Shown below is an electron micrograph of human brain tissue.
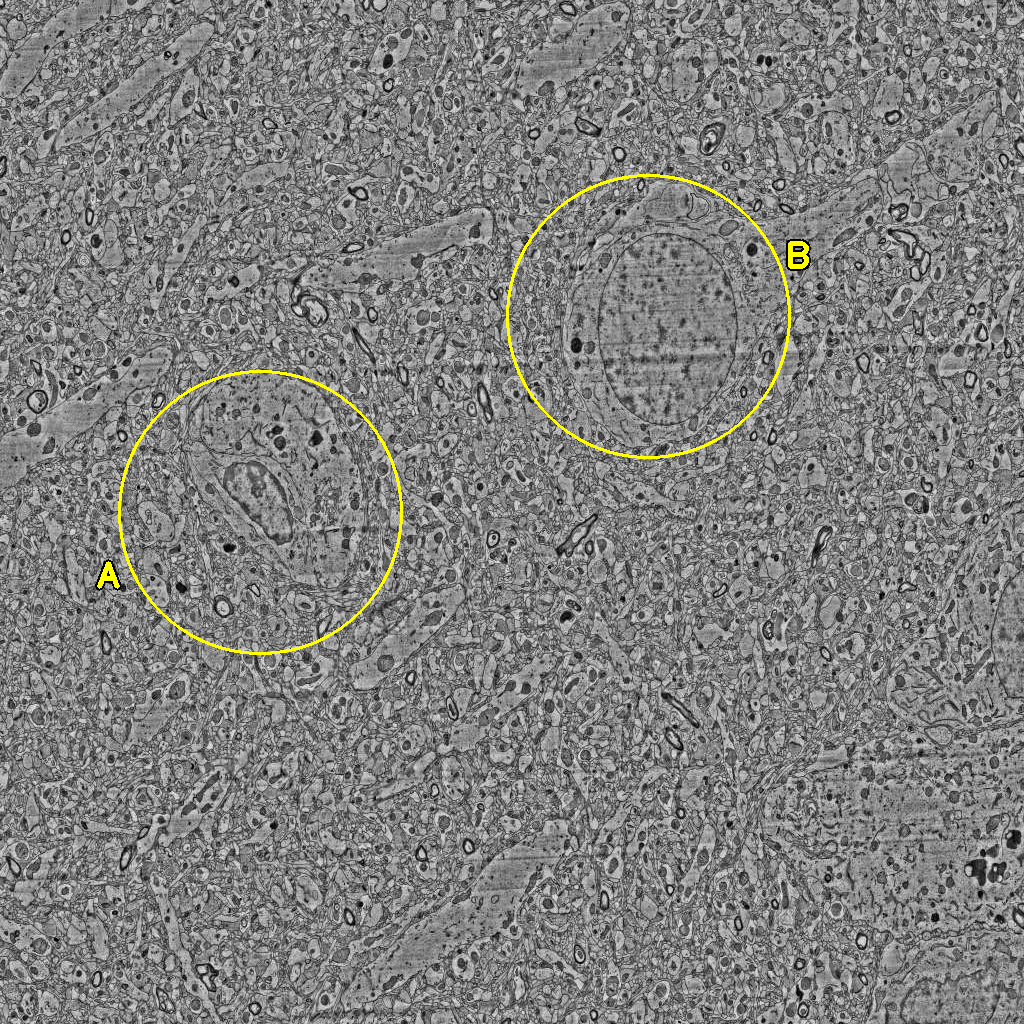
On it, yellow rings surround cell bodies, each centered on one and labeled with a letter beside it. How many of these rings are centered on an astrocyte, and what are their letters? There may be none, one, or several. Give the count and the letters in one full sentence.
Among the rings in the micrograph, the number centred on an astrocyte is zero.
